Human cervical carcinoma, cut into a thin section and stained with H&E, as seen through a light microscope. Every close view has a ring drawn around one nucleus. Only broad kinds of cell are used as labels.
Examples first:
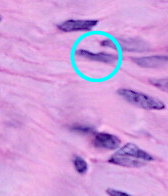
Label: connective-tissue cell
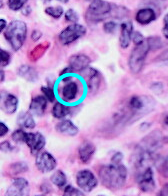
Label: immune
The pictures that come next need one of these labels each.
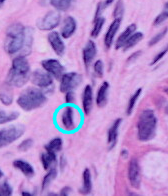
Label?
connective-tissue cell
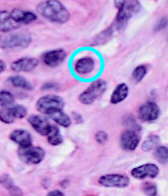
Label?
immune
